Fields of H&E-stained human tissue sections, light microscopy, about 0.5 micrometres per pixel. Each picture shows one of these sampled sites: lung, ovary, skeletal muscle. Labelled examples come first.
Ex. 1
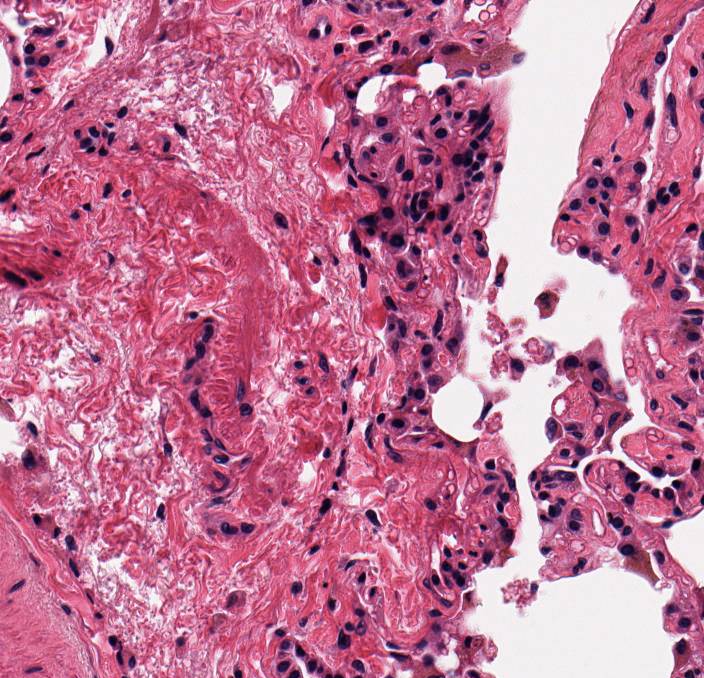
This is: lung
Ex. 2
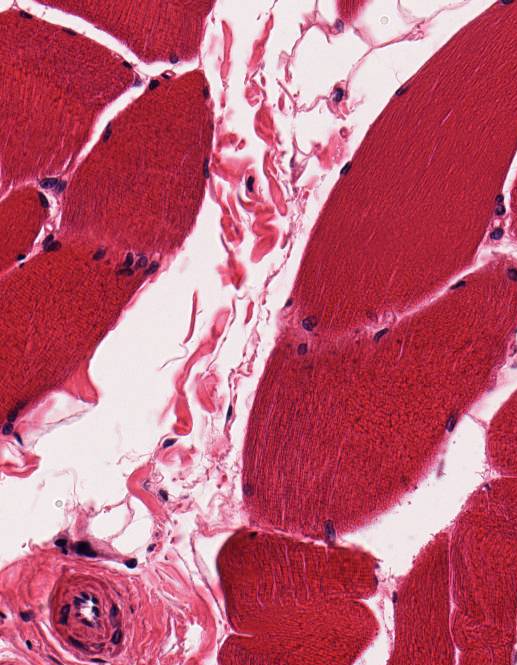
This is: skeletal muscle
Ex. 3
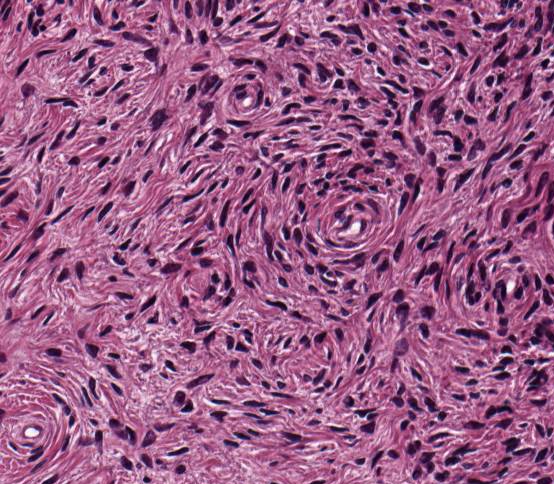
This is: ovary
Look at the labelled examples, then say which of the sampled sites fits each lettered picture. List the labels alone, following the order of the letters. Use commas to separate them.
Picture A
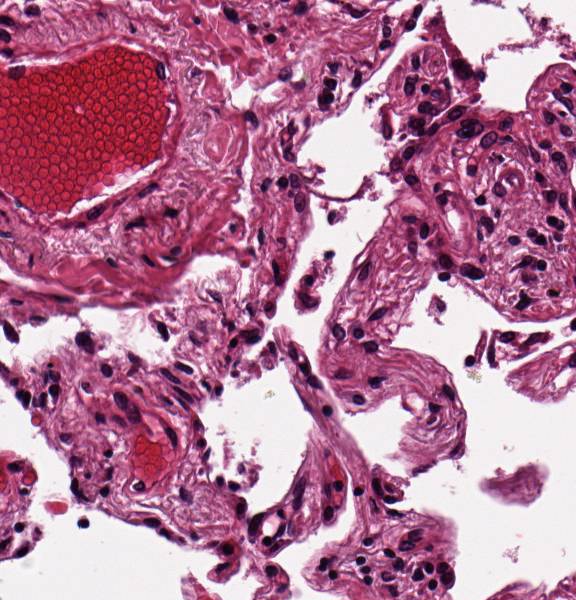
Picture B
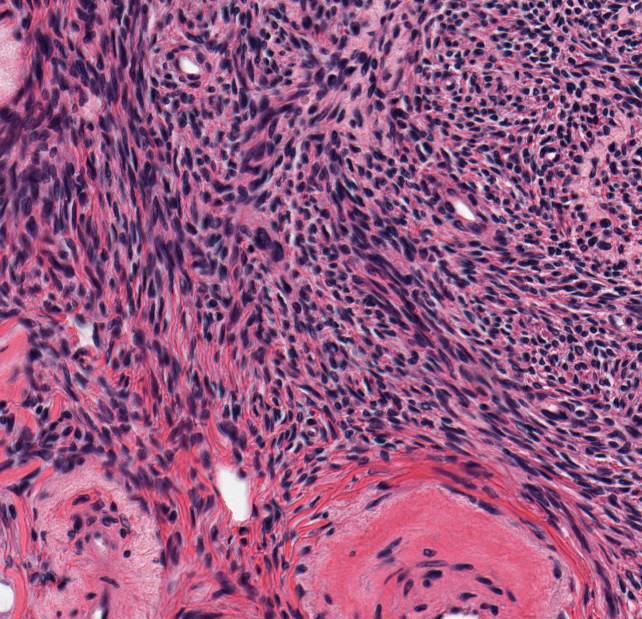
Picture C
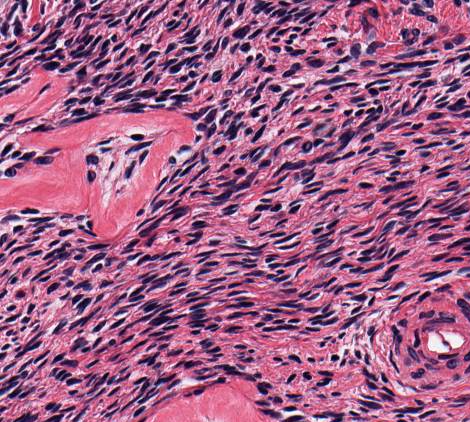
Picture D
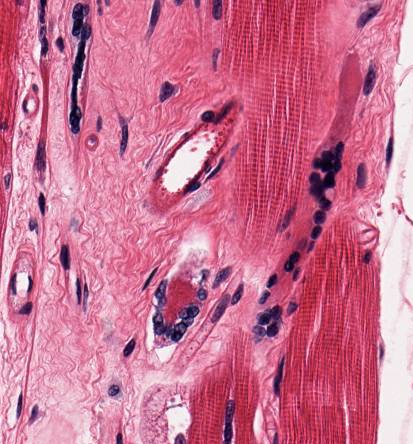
lung, ovary, ovary, skeletal muscle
